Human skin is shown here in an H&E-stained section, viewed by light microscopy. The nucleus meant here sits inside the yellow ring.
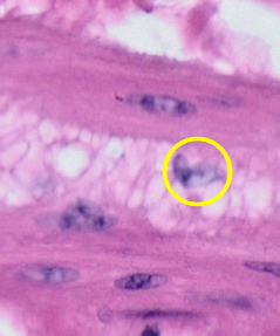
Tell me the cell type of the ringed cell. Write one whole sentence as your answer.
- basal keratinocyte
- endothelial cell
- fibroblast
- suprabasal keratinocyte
In the stained section, the ringed cell is a fibroblast.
